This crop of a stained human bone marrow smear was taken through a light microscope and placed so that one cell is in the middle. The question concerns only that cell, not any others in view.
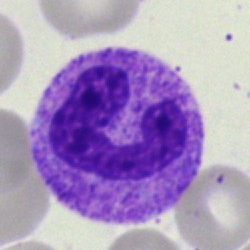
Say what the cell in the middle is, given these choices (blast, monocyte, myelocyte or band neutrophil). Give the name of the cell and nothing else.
band neutrophil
